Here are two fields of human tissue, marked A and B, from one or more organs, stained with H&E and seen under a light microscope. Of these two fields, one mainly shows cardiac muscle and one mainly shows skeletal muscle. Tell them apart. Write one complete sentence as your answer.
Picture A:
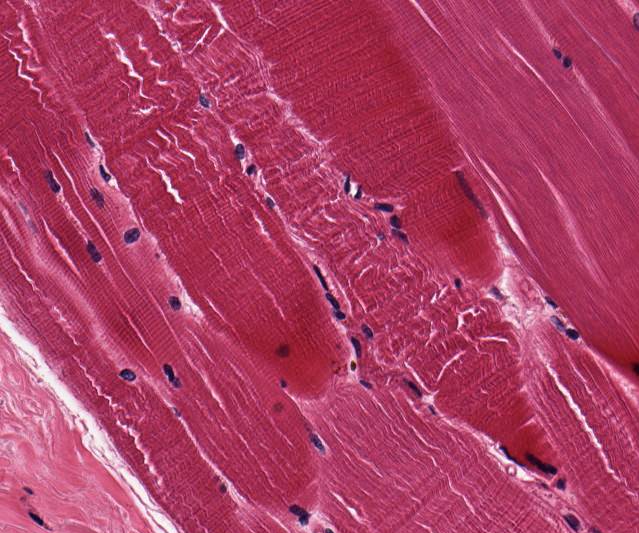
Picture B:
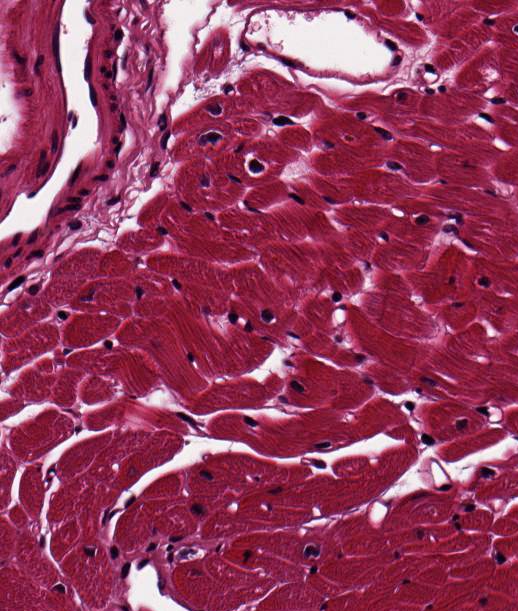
It is picture A that mainly shows skeletal muscle, and picture B that mainly shows cardiac muscle.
